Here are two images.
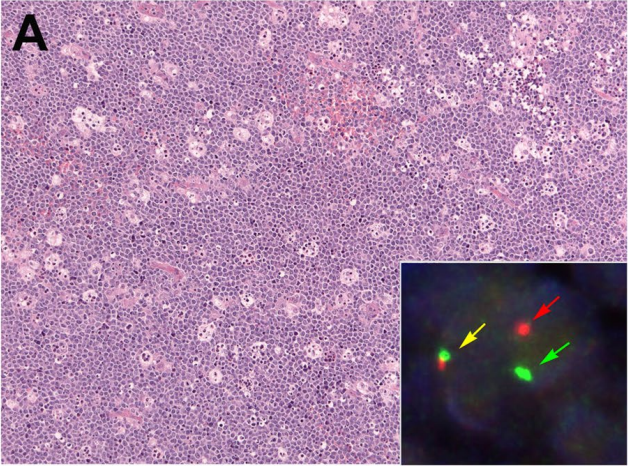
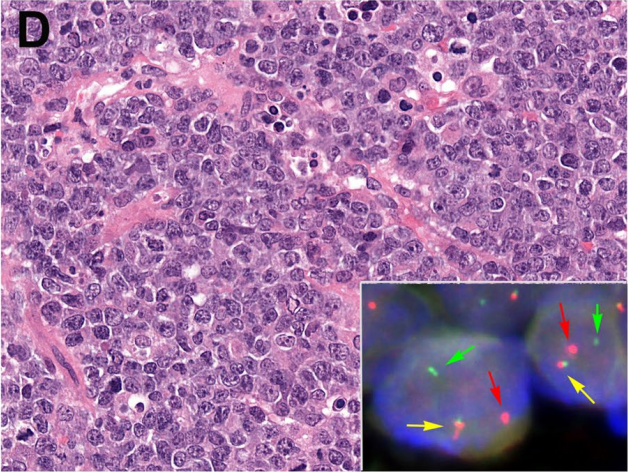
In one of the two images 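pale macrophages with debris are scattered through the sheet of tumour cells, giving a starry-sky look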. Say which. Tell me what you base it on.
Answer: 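Second image: densely packed large cells without evenly scattered pale clearings. First image: many pale round clearings with dark debris scattered evenly through the dark cell sheet.
Hence: the first image.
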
